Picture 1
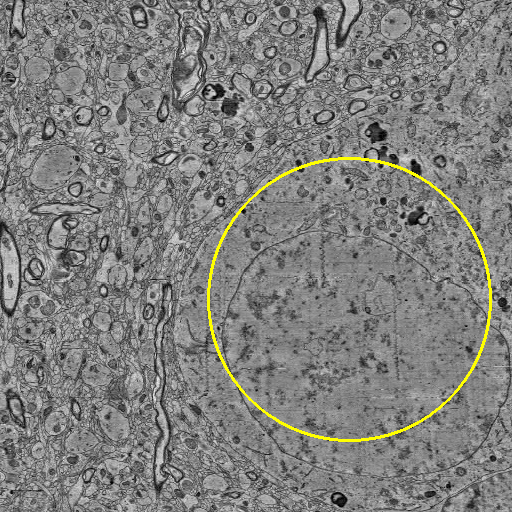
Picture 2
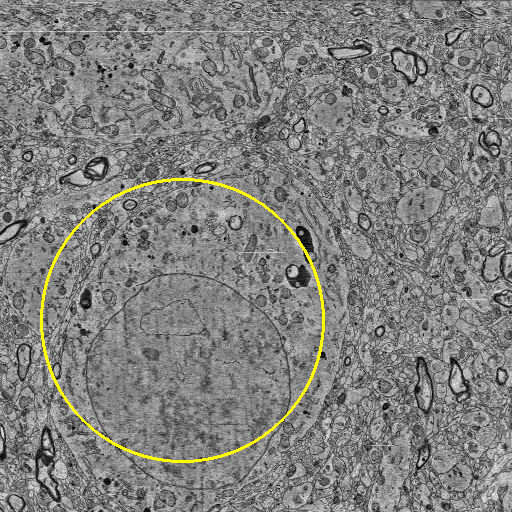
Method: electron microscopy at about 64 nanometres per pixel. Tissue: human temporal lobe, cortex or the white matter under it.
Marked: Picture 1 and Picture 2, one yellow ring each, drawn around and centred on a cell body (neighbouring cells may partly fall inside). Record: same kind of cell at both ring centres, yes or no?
yes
